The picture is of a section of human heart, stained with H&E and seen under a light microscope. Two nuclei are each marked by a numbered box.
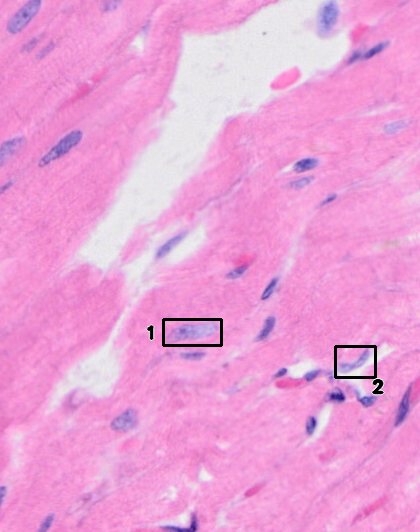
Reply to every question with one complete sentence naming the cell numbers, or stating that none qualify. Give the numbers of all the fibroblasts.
Among the numbered cells, the one that is a fibroblast is cell 2 alone.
